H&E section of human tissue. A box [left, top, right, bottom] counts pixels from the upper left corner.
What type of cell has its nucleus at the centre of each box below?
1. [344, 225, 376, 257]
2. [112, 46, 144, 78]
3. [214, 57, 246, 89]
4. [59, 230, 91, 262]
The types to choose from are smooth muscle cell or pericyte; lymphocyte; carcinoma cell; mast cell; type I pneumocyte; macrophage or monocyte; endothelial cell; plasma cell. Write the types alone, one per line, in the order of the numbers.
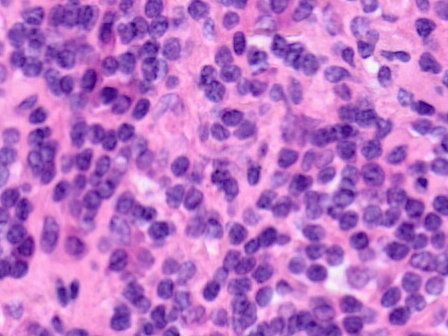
lymphocyte
lymphocyte
lymphocyte
plasma cell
